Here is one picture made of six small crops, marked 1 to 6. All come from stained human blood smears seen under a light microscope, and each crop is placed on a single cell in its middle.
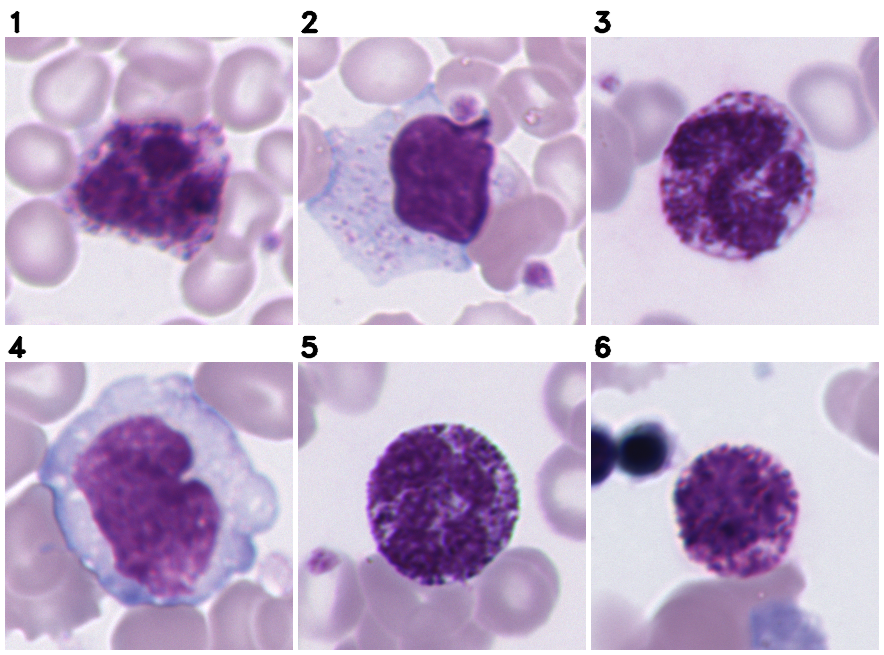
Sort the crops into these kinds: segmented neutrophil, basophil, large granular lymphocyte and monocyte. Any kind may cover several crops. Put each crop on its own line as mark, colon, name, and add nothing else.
1: basophil
2: large granular lymphocyte
3: basophil
4: monocyte
5: basophil
6: basophil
